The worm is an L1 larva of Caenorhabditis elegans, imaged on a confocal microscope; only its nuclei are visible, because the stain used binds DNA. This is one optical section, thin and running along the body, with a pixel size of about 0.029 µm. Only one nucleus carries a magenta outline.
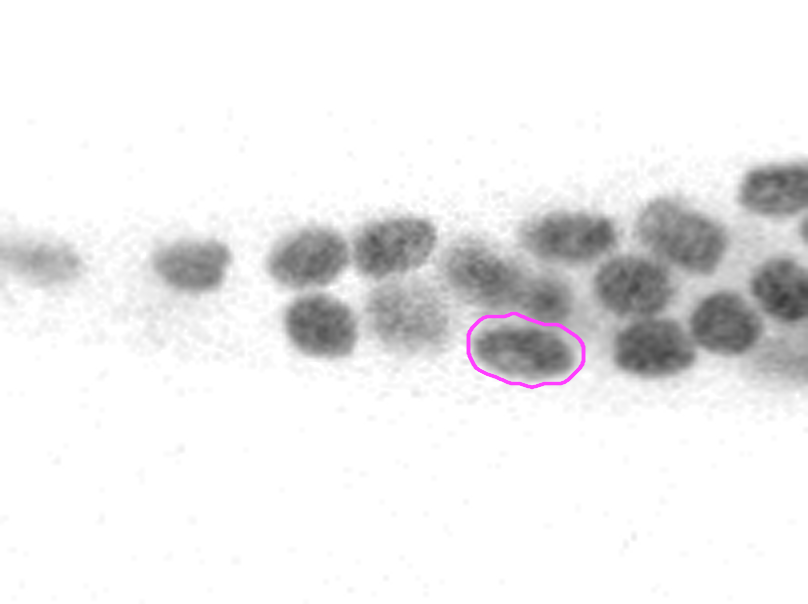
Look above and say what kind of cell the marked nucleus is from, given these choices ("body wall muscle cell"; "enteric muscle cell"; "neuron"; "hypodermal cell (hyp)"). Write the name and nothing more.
body wall muscle cell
